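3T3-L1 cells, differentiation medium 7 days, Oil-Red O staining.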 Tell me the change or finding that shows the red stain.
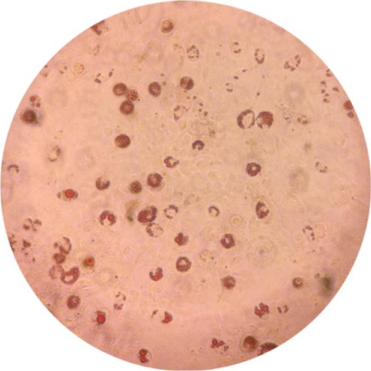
Triglyceride accumulation.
